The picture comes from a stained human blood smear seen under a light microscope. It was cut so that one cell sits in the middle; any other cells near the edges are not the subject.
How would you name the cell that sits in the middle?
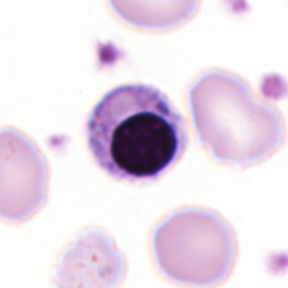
erythroblast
